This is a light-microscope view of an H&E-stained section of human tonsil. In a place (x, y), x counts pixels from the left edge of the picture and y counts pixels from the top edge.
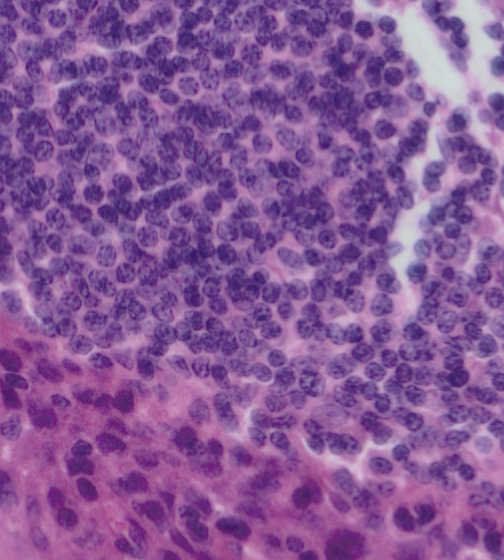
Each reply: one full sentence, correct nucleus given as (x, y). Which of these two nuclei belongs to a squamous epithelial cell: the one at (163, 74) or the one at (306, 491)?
The nucleus at (306, 491) is the member of the pair belonging to a squamous epithelial cell.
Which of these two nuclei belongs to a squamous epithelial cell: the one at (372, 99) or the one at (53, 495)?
Located at (53, 495), this nucleus is the one belonging to a squamous epithelial cell.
